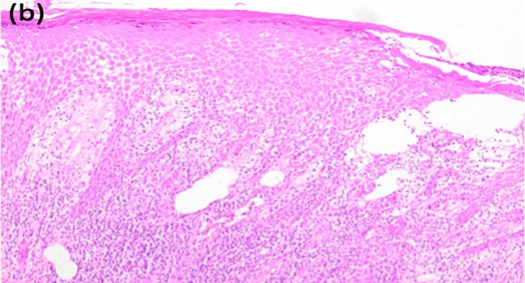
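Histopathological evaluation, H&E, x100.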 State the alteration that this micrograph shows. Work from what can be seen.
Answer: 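The epidermis is markedly thickened, occupying much of the panel's height. The layer of keratinocytes is broad beneath a thin surface layer. So: acanthosis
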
